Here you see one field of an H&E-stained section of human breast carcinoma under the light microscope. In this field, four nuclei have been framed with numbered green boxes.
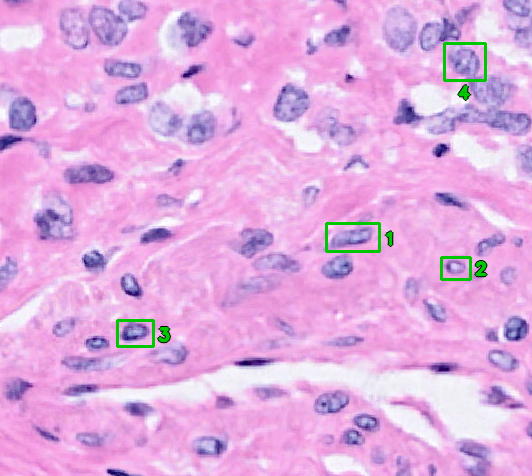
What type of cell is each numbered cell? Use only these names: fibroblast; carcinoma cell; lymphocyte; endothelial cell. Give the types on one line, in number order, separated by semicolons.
endothelial cell; endothelial cell; endothelial cell; carcinoma cell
